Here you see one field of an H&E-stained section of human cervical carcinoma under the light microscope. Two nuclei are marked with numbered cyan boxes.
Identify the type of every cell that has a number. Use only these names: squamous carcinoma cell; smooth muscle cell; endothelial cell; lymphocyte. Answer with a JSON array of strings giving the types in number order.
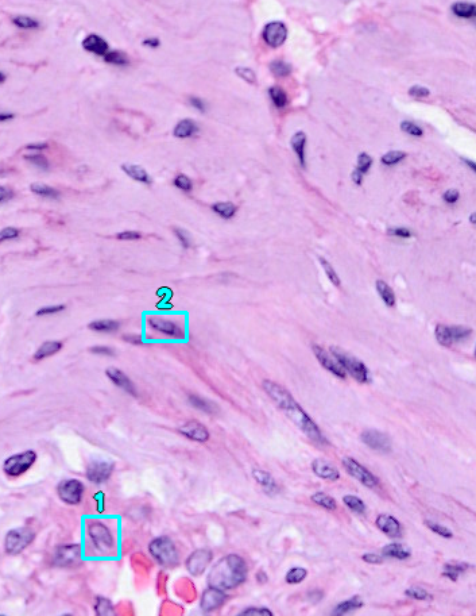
["endothelial cell", "smooth muscle cell"]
